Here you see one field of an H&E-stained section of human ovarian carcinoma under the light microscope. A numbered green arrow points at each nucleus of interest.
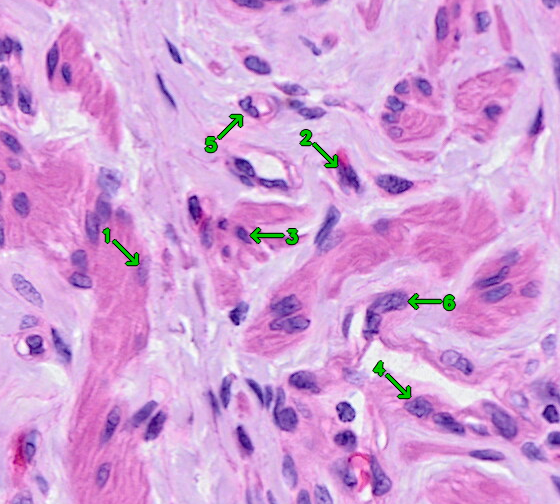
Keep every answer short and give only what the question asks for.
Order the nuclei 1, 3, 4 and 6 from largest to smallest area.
6, 4, 1, 3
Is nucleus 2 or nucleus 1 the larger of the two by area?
2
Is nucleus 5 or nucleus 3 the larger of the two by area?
5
